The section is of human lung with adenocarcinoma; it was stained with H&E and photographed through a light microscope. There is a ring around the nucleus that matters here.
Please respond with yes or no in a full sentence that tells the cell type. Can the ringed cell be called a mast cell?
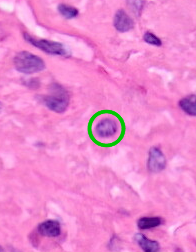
Yes, it is accurate to say that the ringed cell is a mast cell.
